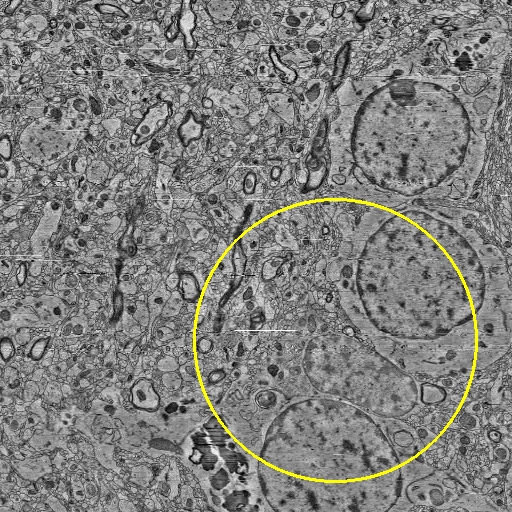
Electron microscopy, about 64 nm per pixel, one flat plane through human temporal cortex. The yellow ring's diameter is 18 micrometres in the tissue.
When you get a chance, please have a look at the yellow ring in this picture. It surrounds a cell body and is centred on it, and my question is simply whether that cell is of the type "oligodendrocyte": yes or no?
Yes, the cell is of that type.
